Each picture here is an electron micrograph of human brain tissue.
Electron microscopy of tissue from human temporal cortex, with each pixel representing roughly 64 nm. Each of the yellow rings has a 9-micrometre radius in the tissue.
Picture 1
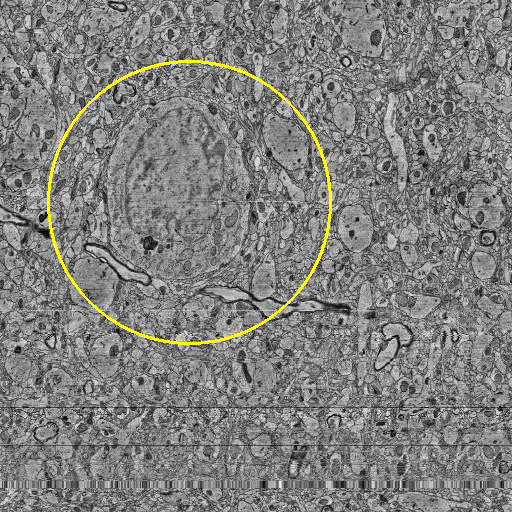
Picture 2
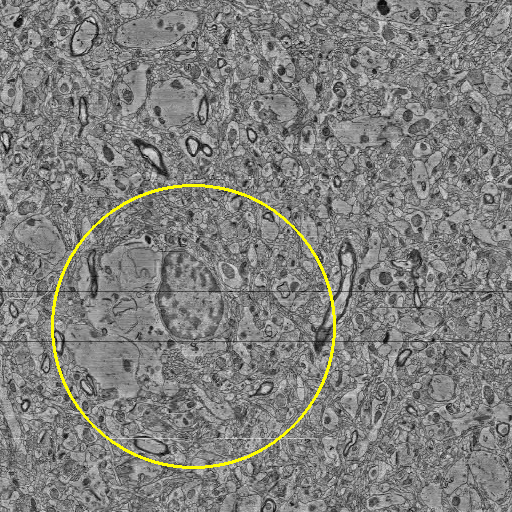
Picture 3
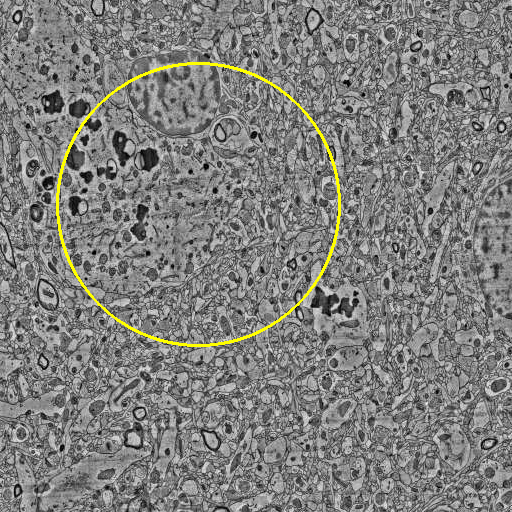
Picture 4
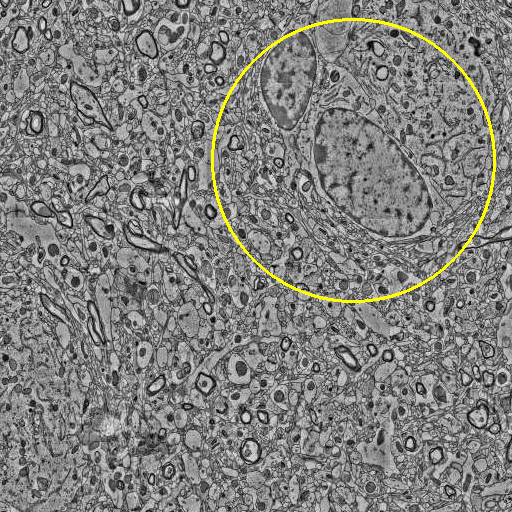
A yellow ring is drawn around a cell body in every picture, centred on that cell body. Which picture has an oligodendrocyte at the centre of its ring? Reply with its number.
2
